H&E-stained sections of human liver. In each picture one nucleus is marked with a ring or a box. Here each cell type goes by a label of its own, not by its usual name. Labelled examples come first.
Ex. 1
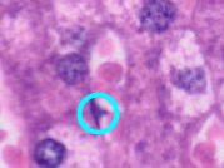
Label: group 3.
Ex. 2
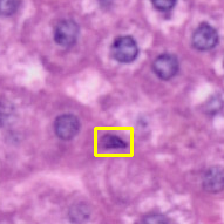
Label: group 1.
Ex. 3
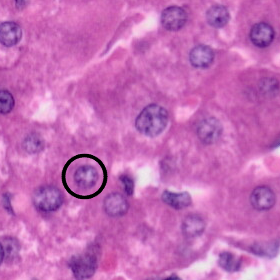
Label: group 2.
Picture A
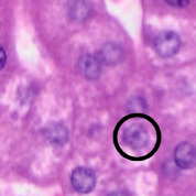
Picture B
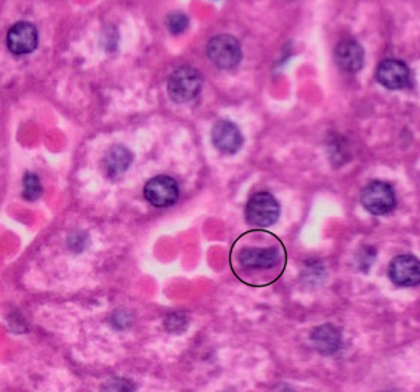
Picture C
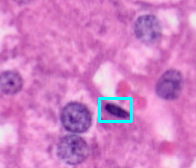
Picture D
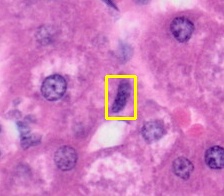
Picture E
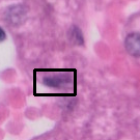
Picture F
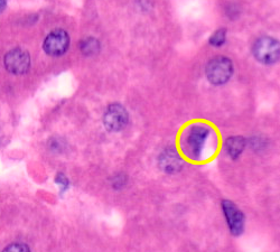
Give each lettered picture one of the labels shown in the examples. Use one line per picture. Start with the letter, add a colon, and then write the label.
A: group 2.
B: group 1.
C: group 1.
D: group 1.
E: group 1.
F: group 3.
